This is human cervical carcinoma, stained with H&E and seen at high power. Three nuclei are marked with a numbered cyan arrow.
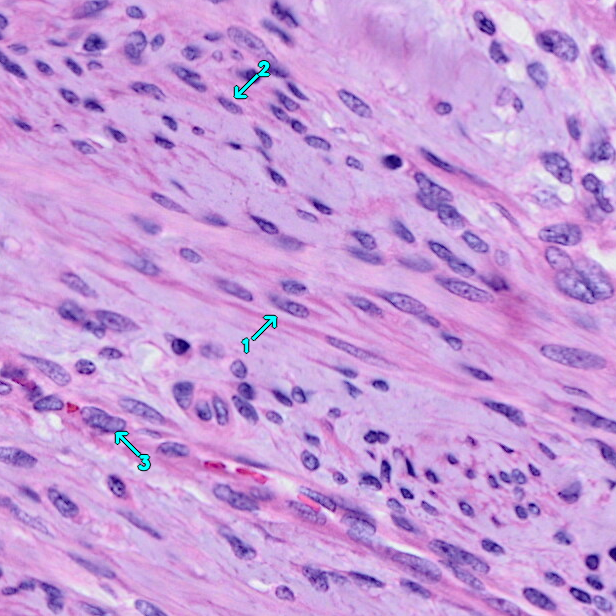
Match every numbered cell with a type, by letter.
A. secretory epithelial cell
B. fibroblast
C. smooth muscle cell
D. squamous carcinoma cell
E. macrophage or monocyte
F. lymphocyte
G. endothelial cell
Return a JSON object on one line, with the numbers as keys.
{"1": "C", "2": "C", "3": "G"}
